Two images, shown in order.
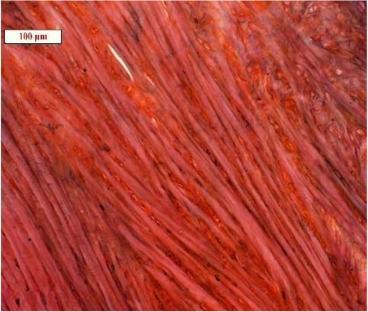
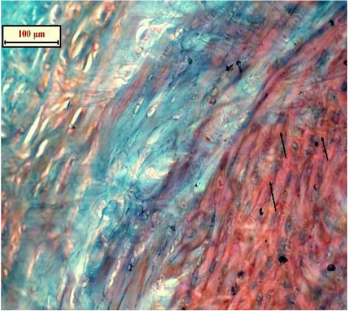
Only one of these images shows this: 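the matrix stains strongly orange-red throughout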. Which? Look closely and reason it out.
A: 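The first image. Second image: large areas of the matrix are blue-green, with only patchy red. First image: the fibres are uniformly orange-red across the whole field.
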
